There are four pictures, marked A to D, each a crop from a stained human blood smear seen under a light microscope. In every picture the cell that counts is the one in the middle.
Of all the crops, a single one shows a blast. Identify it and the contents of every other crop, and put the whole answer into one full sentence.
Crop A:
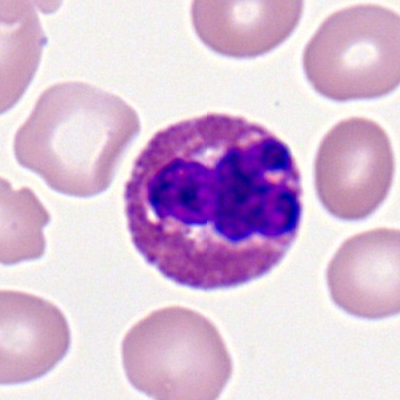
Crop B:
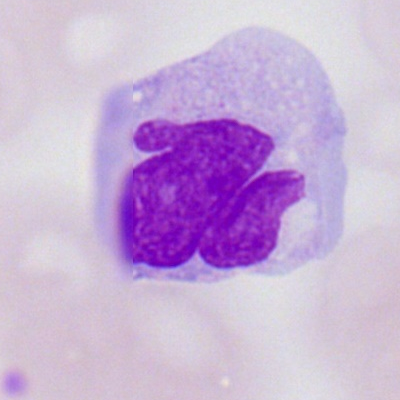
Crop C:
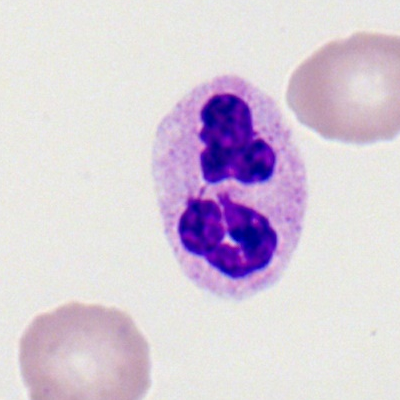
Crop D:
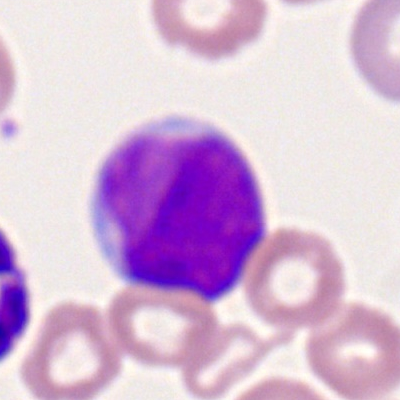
Crop D is showing a blast, while crop A is an eosinophil, crop B is a monocyte and crop C is a neutrophil.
